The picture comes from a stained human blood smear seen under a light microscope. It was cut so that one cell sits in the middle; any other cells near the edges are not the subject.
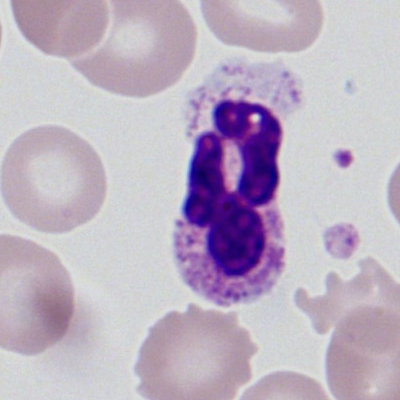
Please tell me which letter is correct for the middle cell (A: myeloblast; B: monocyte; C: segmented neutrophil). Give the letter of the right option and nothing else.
C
